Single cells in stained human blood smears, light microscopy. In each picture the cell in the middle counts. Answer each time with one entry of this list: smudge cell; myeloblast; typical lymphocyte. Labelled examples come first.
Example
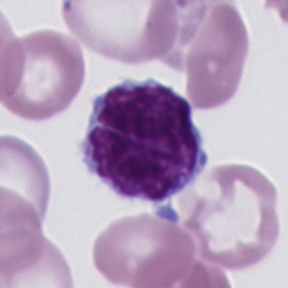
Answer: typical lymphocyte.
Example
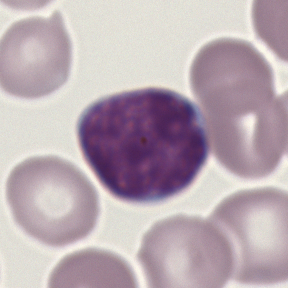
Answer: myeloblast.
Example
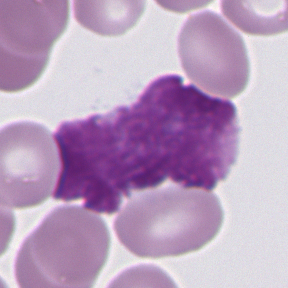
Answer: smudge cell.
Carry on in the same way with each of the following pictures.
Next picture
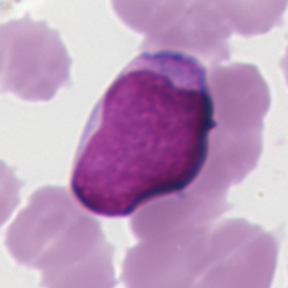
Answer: myeloblast.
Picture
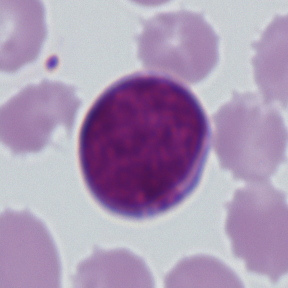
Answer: myeloblast.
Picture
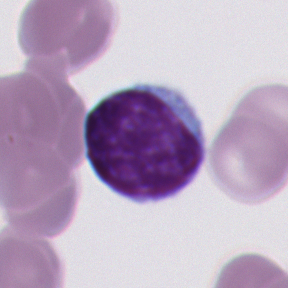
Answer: typical lymphocyte.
